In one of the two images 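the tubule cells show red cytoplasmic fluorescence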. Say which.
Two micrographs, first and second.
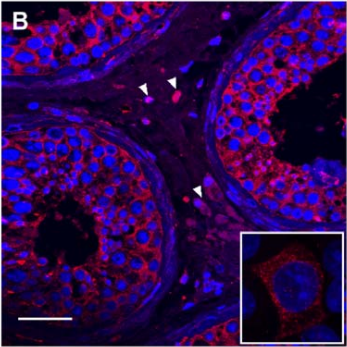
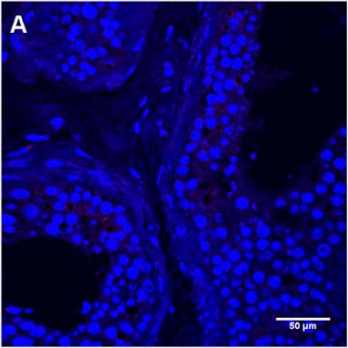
The first image.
